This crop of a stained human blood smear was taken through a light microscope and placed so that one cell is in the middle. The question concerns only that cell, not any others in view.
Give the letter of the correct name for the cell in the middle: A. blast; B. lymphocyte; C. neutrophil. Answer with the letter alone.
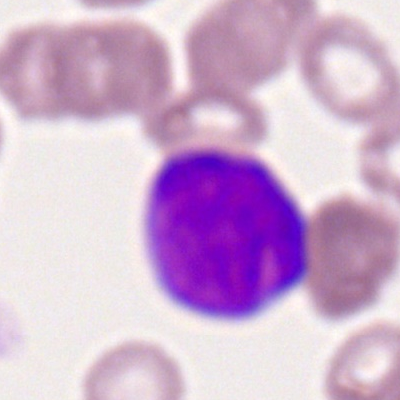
A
